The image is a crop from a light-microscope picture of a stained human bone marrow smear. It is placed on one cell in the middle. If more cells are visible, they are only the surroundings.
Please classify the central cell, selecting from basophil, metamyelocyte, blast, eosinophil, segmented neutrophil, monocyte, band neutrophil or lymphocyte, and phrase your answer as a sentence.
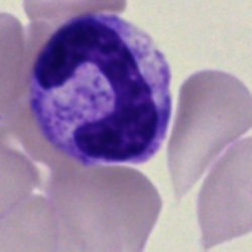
In the middle of this smear crop, the cell is a band neutrophil.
